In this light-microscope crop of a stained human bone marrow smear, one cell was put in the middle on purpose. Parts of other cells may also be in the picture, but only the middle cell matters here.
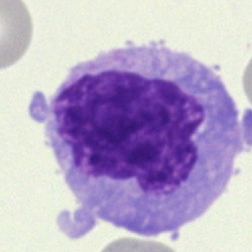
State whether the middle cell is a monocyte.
yes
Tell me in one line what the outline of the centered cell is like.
In outline, the cell is irregular, ragged in stretches or drawn into projections.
